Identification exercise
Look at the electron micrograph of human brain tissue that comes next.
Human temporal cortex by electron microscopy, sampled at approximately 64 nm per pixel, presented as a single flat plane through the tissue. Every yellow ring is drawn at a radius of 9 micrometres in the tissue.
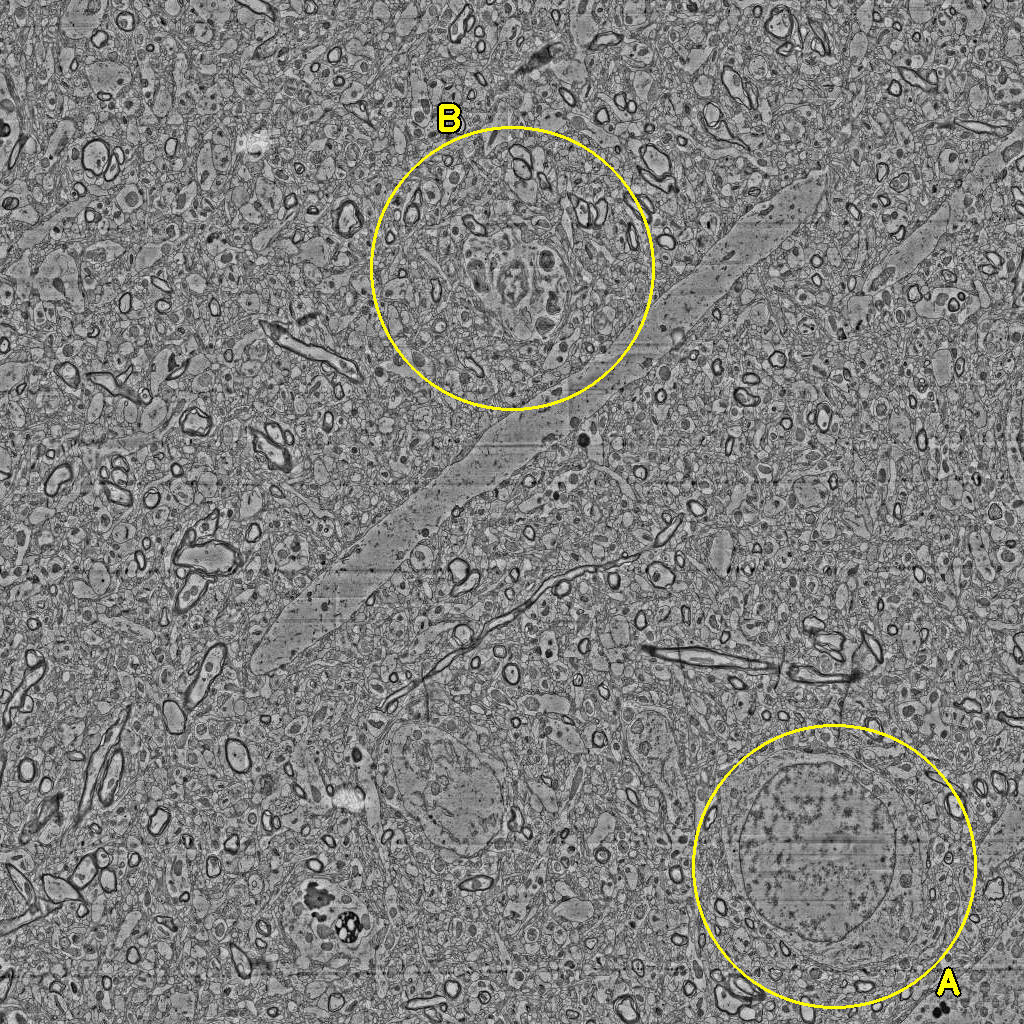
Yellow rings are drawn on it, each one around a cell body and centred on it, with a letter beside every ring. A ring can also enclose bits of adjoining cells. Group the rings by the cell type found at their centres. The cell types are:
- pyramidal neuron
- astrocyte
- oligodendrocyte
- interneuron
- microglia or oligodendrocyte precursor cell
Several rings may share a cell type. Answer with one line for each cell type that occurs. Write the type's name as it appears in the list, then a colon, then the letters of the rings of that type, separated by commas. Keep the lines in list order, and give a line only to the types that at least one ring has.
pyramidal neuron: A
astrocyte: B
